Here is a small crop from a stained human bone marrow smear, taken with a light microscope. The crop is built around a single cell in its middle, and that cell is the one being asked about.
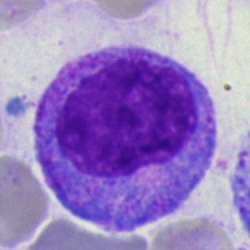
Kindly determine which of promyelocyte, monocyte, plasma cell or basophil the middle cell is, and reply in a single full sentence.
The cell marked by its central position in the crop is a promyelocyte.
